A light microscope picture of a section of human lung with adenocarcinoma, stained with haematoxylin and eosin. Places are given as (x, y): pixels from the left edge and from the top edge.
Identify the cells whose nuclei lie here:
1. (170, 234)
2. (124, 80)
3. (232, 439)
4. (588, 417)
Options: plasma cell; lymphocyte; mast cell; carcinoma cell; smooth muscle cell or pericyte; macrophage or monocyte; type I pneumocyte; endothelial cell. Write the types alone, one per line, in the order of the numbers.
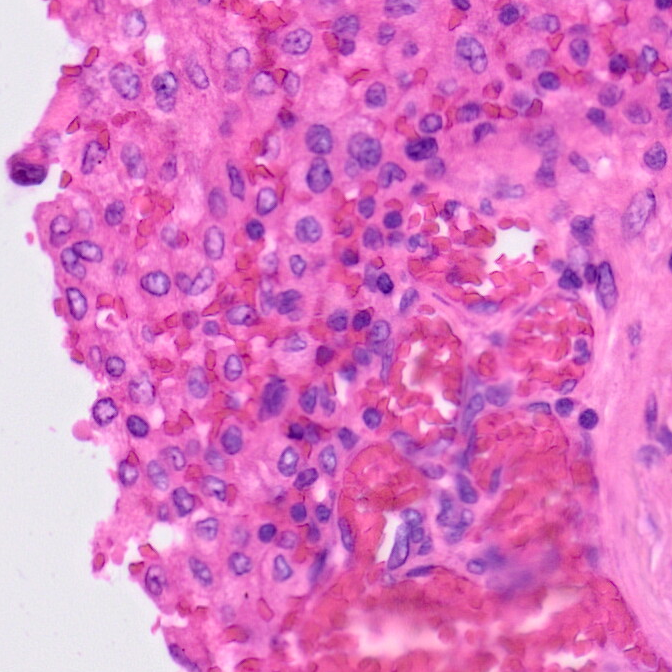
macrophage or monocyte
macrophage or monocyte
macrophage or monocyte
lymphocyte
